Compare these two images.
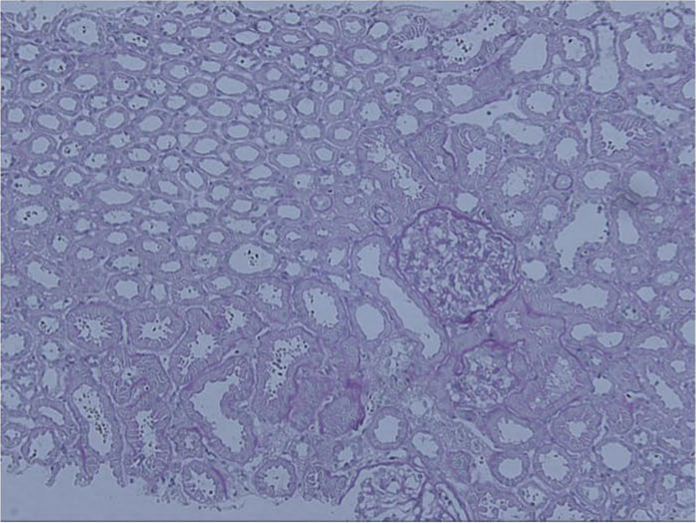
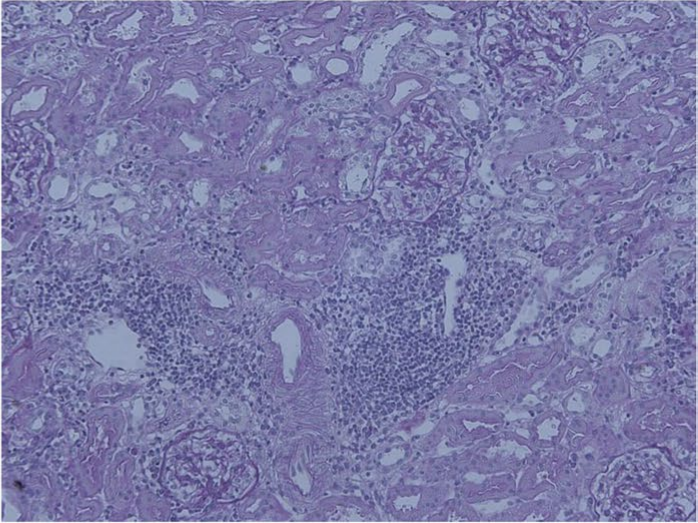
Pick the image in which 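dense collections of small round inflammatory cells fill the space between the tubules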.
The second image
